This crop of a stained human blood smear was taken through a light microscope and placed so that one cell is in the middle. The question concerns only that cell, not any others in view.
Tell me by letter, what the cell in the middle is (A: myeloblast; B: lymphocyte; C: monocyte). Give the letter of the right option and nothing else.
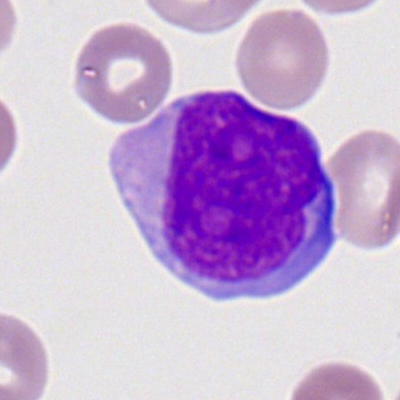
A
